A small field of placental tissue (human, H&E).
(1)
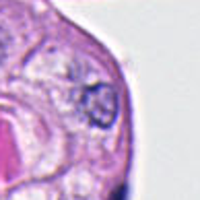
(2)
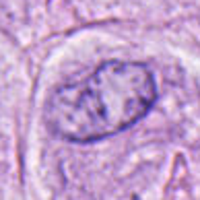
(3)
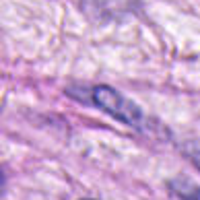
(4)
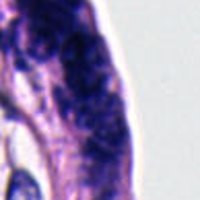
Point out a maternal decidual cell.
That is picture 2.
